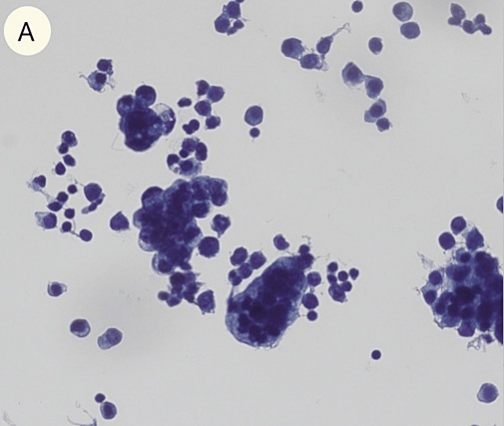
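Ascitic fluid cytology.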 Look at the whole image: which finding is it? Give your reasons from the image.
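Nuclear overlap. Within the clusters, dark nuclei lie on top of one another. Nuclear borders are crowded and superimposed in the large groups.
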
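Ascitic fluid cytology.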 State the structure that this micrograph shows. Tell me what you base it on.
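Three-dimensional groups. Cells lie in dense, thick clusters with several cells stacked on one another. Cluster centres are darker and out of a single focal plane.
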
